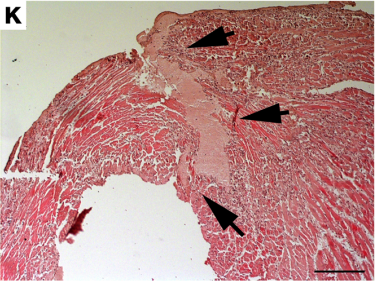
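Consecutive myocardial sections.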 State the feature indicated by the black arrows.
intramural rupture track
